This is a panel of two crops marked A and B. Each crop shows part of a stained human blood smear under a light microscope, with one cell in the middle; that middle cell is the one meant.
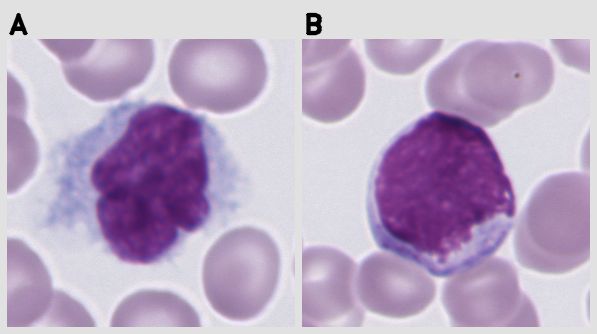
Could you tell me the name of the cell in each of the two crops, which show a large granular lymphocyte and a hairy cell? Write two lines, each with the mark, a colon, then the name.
A: hairy cell
B: large granular lymphocyte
